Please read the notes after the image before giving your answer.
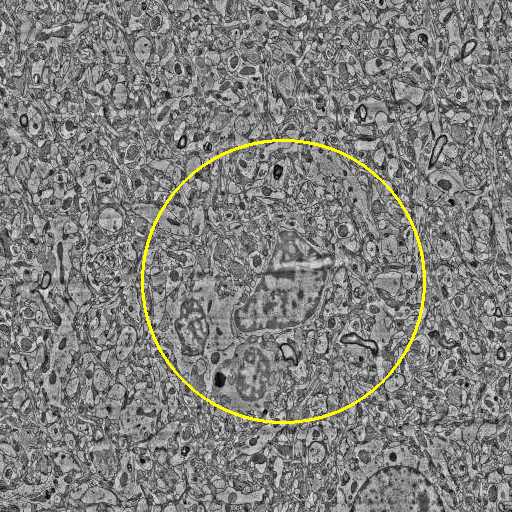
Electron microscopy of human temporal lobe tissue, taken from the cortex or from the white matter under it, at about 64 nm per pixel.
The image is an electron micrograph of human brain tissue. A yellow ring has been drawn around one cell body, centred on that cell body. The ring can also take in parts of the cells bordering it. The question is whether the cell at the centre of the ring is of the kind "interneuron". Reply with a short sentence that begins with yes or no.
No, the cell at the centre is of another kind.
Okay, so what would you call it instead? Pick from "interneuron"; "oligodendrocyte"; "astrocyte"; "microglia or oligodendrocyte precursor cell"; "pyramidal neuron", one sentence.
The cell marked by the ring is a microglial cell or oligodendrocyte precursor cell.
